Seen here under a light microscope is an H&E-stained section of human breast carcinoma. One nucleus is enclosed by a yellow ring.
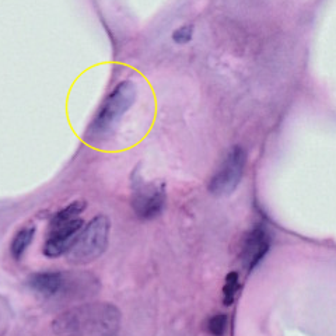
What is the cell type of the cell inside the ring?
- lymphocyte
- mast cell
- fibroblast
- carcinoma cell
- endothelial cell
fibroblast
